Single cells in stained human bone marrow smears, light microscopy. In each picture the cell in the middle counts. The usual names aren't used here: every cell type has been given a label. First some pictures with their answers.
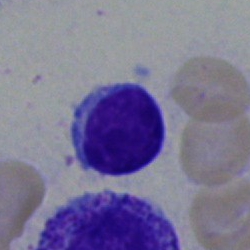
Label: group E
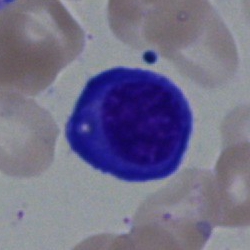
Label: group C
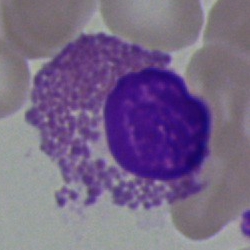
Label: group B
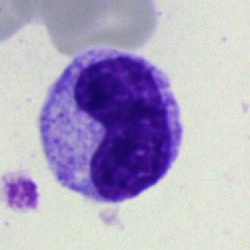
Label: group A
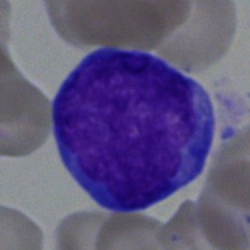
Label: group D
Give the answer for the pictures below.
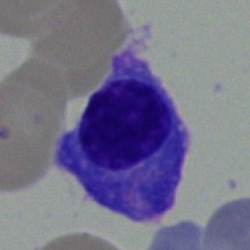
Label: group C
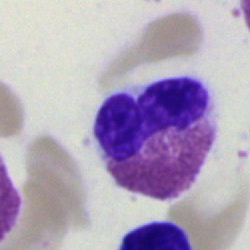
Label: group B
